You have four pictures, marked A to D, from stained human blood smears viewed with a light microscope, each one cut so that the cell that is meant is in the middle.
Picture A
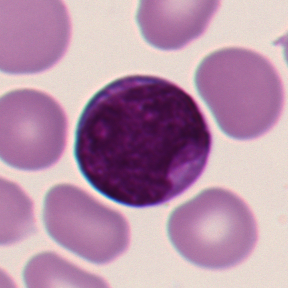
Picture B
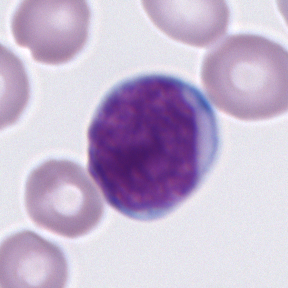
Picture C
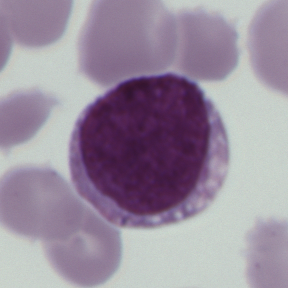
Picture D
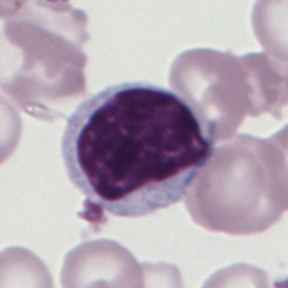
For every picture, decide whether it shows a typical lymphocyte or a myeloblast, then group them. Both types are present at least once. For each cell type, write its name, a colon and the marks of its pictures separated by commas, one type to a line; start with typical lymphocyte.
typical lymphocyte: D
myeloblast: A, B, C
